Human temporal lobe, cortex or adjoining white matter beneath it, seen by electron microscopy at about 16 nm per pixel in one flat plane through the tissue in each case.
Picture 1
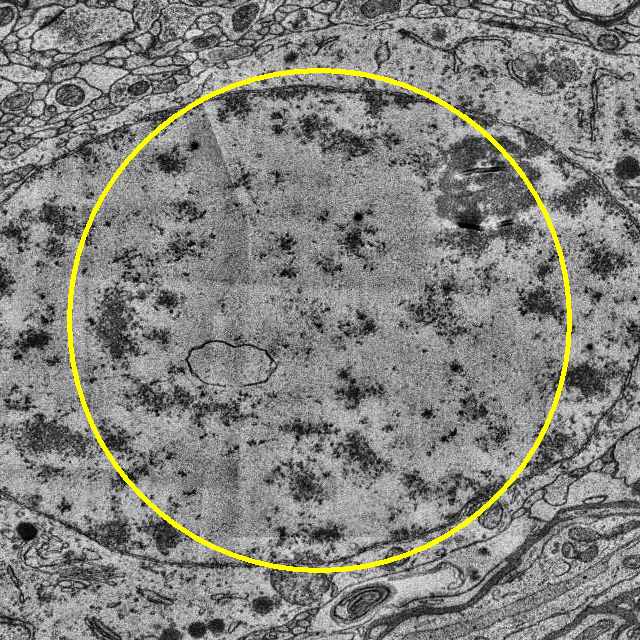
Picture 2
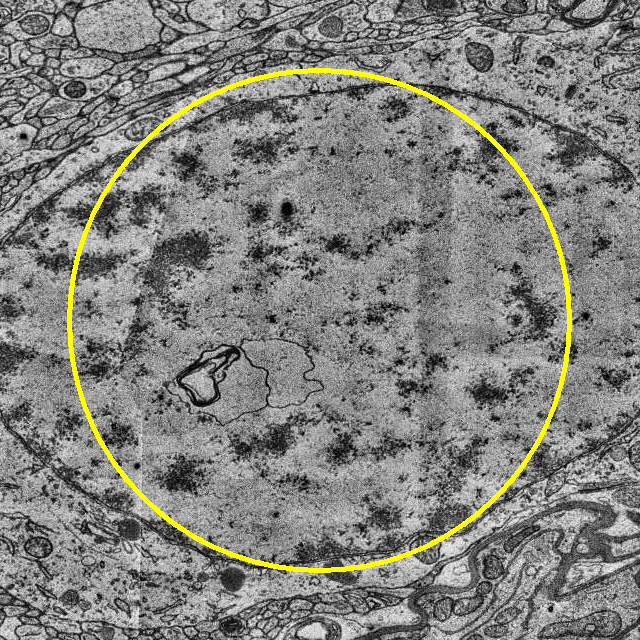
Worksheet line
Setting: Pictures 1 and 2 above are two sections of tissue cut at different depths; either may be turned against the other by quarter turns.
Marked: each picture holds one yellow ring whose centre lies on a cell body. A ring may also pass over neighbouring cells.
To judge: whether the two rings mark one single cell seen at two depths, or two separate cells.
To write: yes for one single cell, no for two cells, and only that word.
yes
